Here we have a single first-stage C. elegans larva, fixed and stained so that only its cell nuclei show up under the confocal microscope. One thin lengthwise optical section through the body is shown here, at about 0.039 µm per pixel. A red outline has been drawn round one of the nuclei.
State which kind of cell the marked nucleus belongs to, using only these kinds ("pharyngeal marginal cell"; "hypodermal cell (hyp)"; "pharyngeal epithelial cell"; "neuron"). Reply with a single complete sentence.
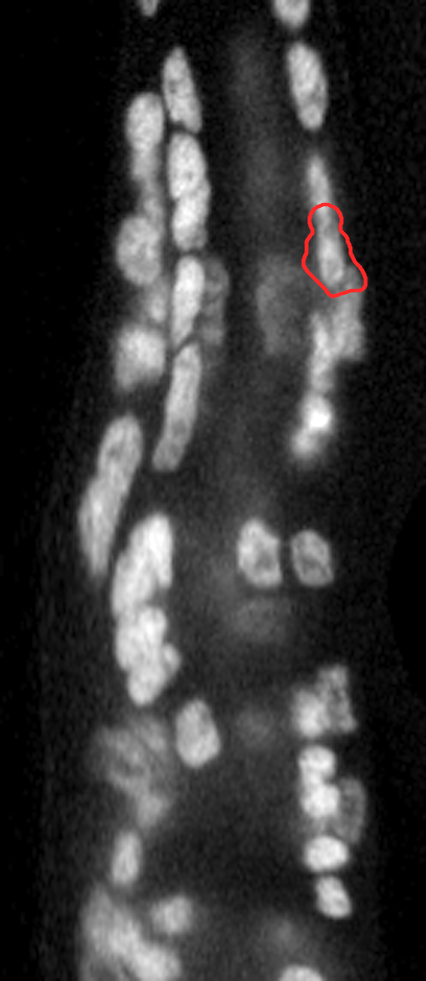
The marked cell is a hypodermal cell (hyp).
